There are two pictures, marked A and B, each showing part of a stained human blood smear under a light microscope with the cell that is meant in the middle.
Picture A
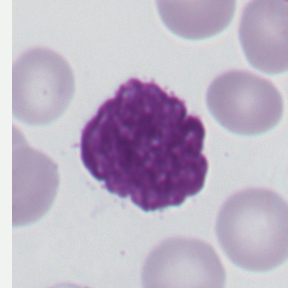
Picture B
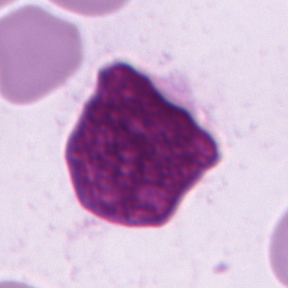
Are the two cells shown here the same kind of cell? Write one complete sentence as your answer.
Yes, the two pictures both show smudge cells.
